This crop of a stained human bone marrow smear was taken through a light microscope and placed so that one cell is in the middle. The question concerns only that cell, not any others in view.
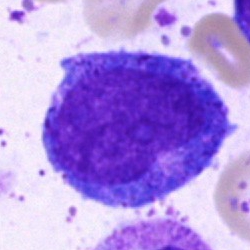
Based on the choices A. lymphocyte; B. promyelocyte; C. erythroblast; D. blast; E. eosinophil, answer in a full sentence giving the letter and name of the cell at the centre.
The cell occupying the centre is a promyelocyte; option B is thus the correct choice.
